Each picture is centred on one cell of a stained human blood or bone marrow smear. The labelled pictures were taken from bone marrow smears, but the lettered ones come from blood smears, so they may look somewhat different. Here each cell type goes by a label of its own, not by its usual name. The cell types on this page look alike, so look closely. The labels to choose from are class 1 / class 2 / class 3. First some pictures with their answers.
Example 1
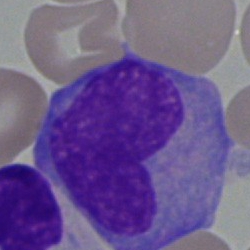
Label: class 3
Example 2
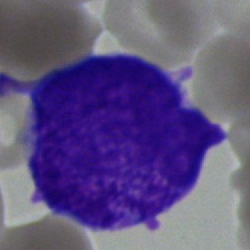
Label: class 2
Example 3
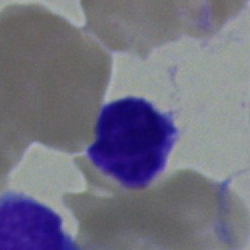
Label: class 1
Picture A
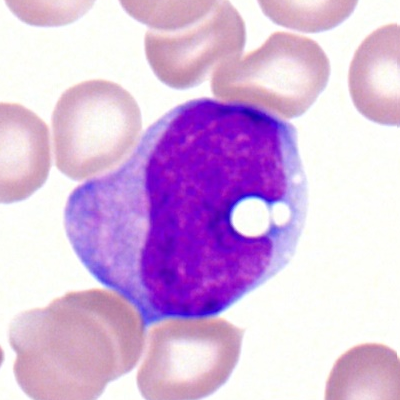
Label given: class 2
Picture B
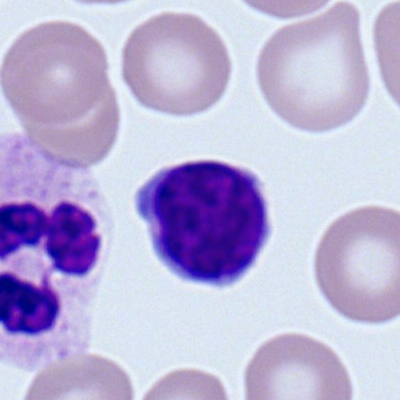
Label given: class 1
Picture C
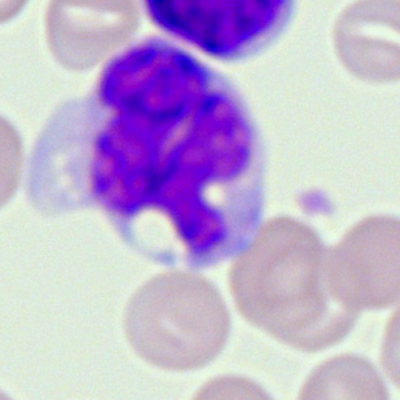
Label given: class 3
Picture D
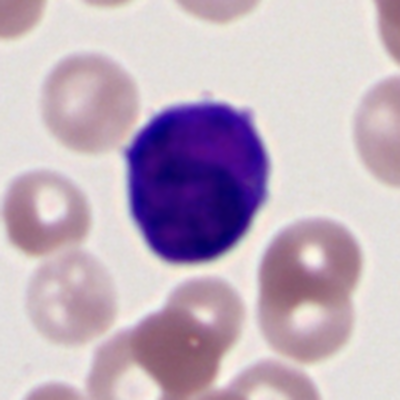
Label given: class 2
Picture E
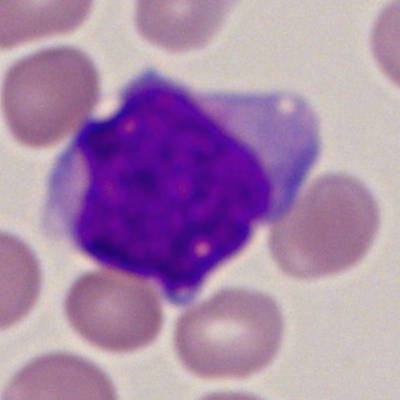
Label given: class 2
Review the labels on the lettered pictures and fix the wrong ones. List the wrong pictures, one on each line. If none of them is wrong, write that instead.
All correct.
